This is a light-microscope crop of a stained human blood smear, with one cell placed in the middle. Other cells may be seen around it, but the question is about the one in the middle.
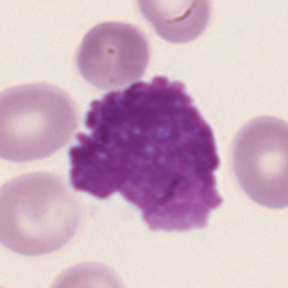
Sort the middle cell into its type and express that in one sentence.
Centred in the crop is a smudge cell.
